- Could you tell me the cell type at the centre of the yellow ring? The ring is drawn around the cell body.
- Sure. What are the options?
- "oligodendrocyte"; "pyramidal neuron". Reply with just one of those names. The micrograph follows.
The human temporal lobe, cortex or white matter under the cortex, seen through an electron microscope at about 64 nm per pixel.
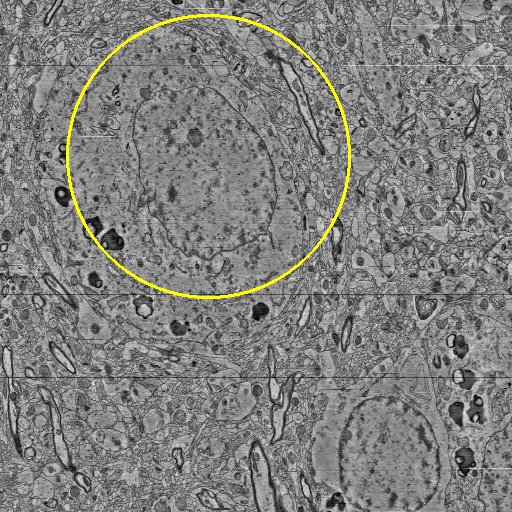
pyramidal neuron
